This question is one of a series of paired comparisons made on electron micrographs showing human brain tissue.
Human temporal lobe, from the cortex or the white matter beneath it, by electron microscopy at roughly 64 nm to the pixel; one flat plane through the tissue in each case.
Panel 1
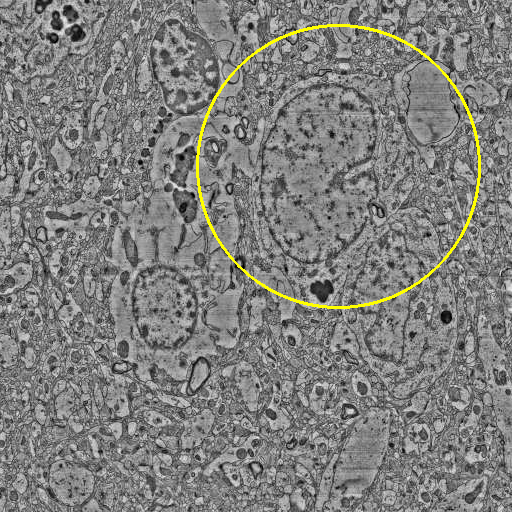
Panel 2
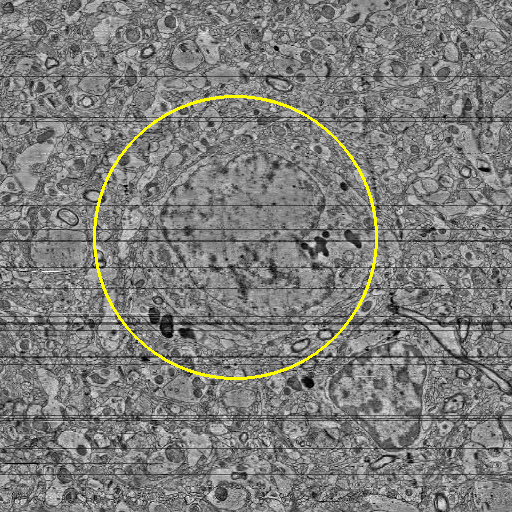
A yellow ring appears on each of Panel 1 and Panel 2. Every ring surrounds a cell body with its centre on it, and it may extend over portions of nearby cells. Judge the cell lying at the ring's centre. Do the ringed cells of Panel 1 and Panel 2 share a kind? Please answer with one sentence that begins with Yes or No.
Yes, the ring-centre cell in Panel 1 and the one in Panel 2 are of one kind.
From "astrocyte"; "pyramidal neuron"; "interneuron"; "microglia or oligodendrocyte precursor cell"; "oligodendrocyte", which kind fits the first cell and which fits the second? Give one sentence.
Both pictures show an interneuron at the centre of the ring.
